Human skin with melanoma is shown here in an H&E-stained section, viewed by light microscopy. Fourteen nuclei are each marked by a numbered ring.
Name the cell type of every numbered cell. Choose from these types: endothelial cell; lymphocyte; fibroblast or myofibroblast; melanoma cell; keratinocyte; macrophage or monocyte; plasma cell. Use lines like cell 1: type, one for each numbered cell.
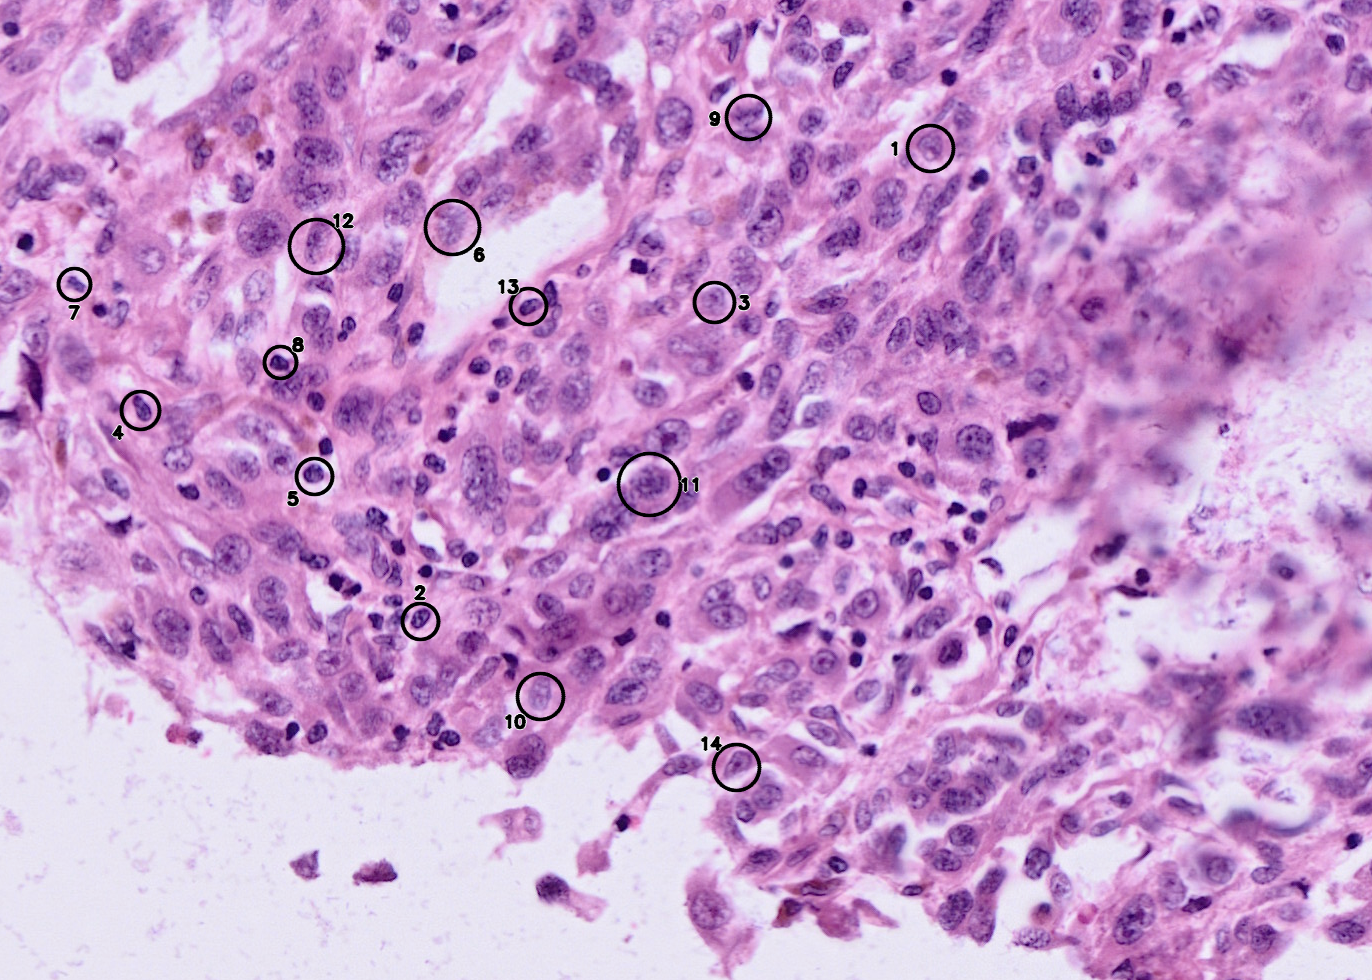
cell 1: melanoma cell
cell 2: lymphocyte
cell 3: melanoma cell
cell 4: lymphocyte
cell 5: lymphocyte
cell 6: melanoma cell
cell 7: lymphocyte
cell 8: lymphocyte
cell 9: melanoma cell
cell 10: melanoma cell
cell 11: melanoma cell
cell 12: melanoma cell
cell 13: lymphocyte
cell 14: melanoma cell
